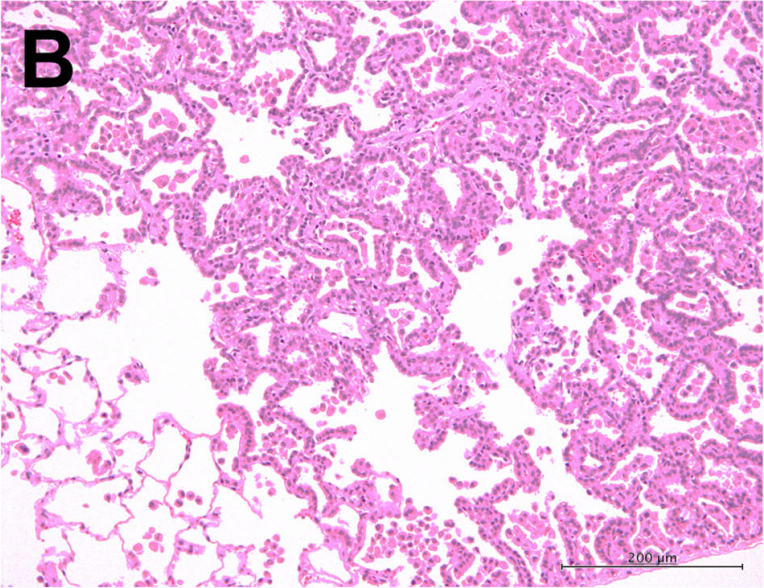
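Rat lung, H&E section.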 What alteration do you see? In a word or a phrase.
Bronchiolo-alveolar cell adenoma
